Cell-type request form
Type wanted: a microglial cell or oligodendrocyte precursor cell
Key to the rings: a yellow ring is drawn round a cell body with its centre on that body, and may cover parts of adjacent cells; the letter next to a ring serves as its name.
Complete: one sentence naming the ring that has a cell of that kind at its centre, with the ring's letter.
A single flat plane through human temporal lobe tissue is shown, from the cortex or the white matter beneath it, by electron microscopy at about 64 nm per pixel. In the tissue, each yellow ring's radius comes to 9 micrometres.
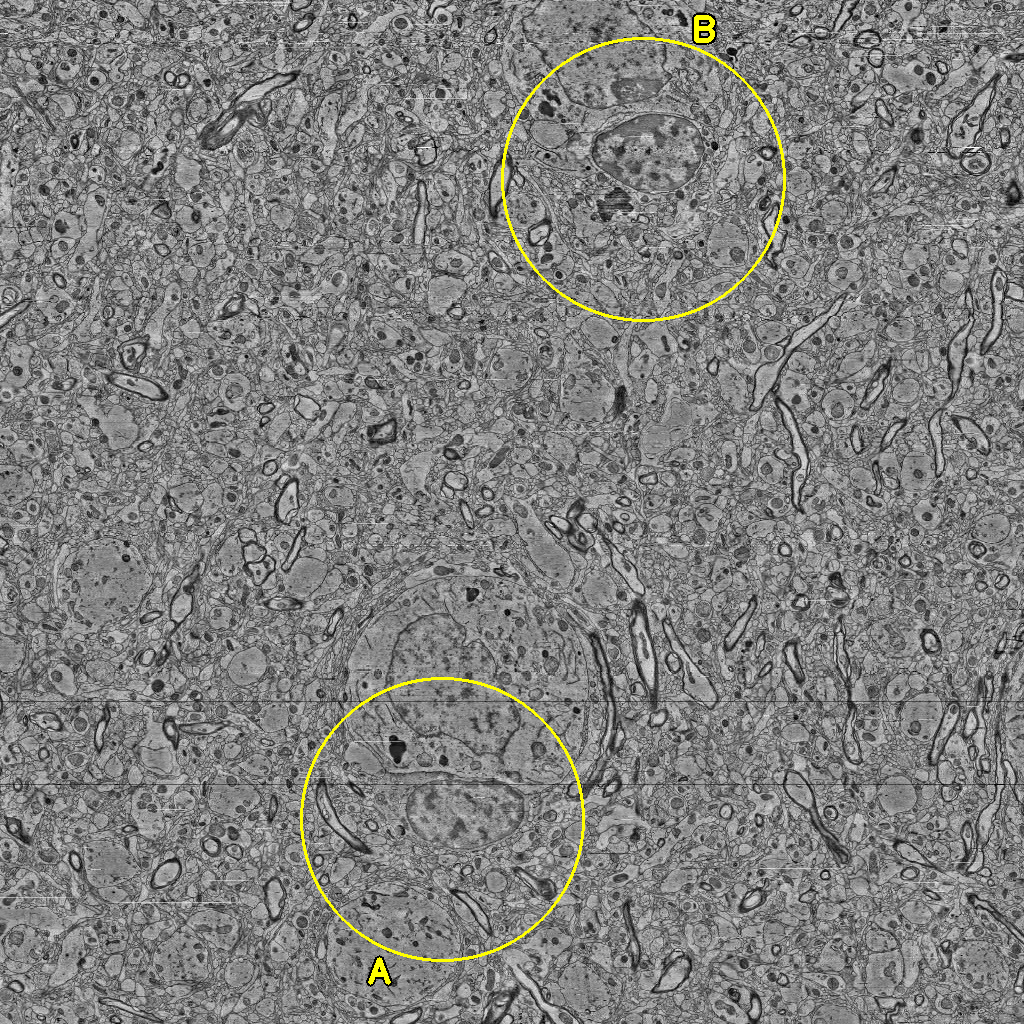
A cell of that kind sits at the centre of the ring labelled B.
